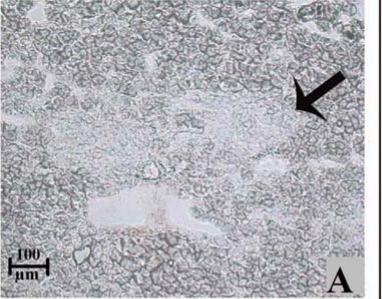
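Unstained pancreatic tissue in which a potential islet appears as a paler, more finely textured area than the rest of the pancreatic tissue. The surrounding tissue is a dense cobblestone of small grey cells, and a few empty whitish spaces lie close to the islet.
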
